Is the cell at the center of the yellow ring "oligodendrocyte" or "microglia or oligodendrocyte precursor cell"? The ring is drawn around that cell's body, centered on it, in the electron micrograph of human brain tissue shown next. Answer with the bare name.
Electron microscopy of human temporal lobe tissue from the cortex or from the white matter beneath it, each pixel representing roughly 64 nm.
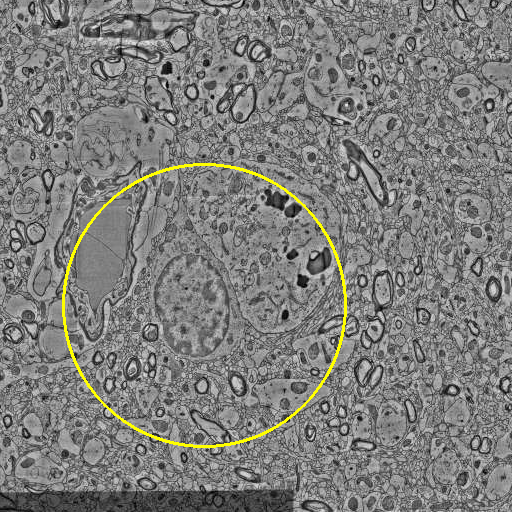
oligodendrocyte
